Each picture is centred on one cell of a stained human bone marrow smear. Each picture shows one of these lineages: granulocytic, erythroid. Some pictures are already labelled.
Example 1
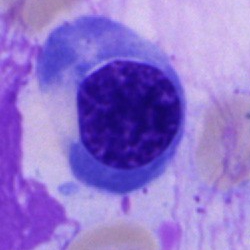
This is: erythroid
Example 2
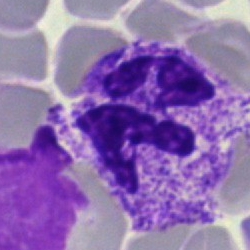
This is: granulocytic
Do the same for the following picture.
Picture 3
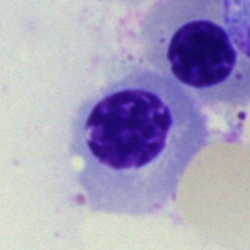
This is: erythroid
